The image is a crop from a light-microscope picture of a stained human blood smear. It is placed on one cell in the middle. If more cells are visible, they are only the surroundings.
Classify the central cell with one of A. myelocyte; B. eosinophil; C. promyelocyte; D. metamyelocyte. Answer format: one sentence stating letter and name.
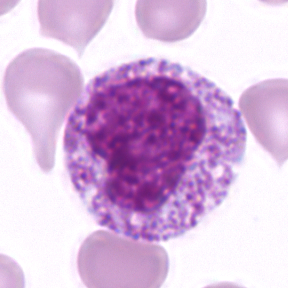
The centrally positioned cell is a myelocyte, consistent with option A, which is correct.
